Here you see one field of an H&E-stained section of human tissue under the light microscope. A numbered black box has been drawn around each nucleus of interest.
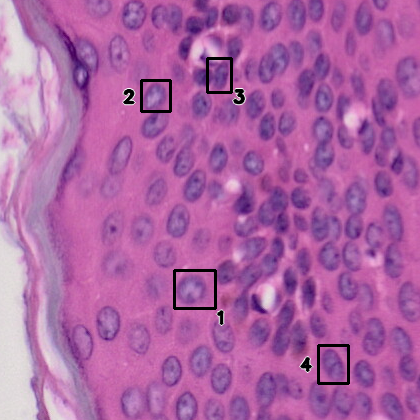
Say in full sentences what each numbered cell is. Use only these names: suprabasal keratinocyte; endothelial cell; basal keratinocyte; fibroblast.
Cell 1 is a suprabasal keratinocyte, cell 2 is a suprabasal keratinocyte, cell 3 is a basal keratinocyte and cell 4 is a suprabasal keratinocyte.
